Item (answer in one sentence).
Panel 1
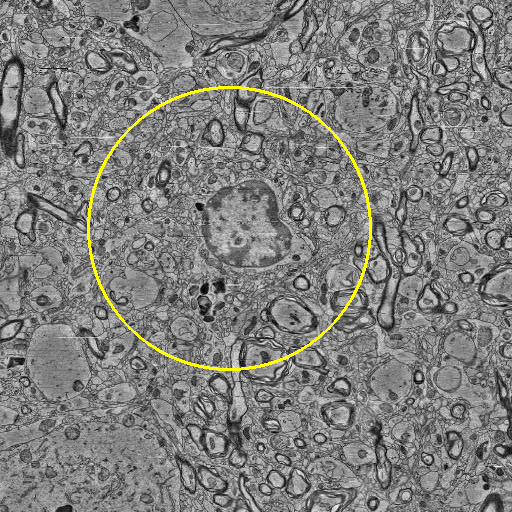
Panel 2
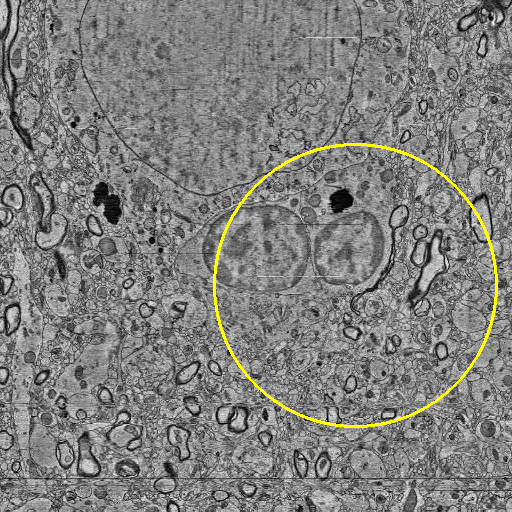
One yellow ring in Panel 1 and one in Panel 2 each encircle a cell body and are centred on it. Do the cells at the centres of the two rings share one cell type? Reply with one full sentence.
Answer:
No, Panel 1 and Panel 2 show cells of two types at the centres of their rings.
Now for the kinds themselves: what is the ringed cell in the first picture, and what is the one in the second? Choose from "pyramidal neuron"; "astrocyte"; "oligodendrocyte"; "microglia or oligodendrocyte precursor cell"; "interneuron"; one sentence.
Here the first cell is a microglial cell or oligodendrocyte precursor cell and the second cell is an oligodendrocyte.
